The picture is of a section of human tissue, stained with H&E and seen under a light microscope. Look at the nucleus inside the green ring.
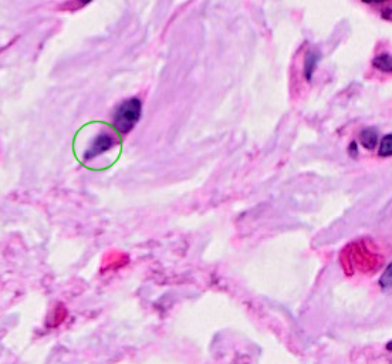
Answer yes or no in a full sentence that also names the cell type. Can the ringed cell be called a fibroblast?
Yes, the identity of the ringed cell is that of a fibroblast.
